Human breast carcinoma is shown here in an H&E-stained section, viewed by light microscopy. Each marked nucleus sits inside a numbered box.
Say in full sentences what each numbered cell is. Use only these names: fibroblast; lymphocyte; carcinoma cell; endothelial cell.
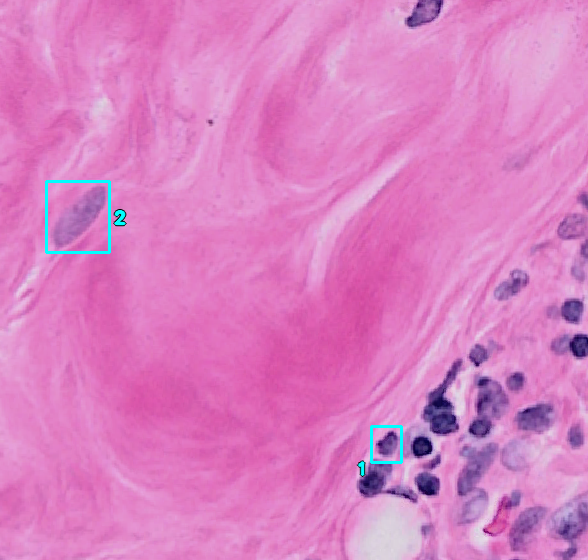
Cell 1 is a lymphocyte and cell 2 is a fibroblast.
